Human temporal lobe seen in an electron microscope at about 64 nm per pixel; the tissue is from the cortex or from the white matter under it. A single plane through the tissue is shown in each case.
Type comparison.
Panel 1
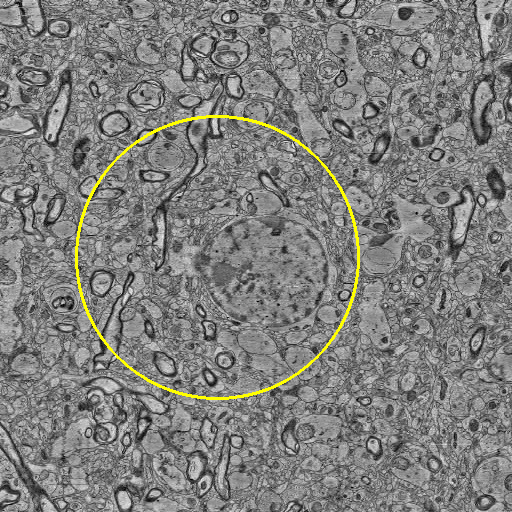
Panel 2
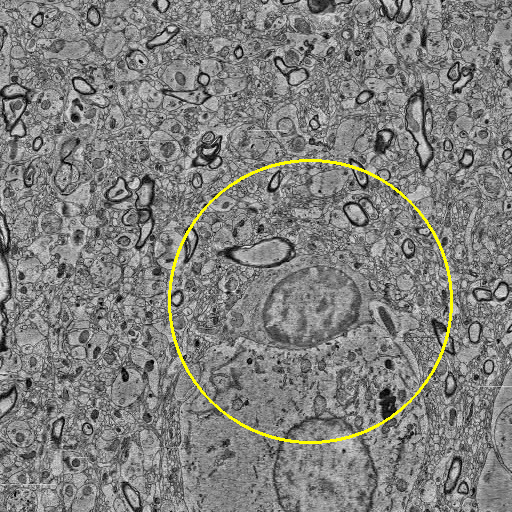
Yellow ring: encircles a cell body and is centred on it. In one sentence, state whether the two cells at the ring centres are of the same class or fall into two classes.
In these panels, the two cells at the ring centres fall into two classes.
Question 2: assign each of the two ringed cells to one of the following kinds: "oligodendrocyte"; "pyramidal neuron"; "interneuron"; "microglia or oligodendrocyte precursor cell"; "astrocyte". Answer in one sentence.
The two cells are a microglial cell or oligodendrocyte precursor cell in the first picture and an oligodendrocyte in the second.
